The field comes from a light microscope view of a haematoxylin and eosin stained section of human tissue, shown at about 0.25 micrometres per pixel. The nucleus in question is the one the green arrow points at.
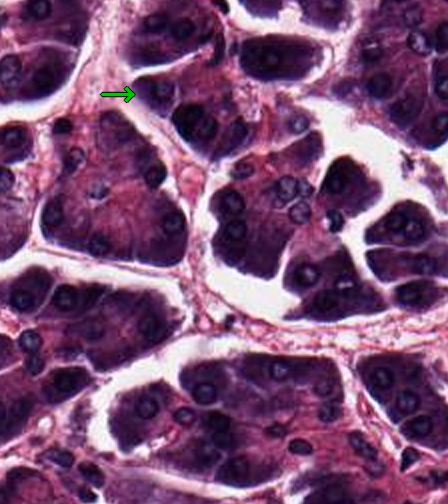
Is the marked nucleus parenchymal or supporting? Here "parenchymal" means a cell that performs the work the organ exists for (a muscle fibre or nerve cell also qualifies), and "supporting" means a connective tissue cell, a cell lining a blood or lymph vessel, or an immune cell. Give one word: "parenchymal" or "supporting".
parenchymal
